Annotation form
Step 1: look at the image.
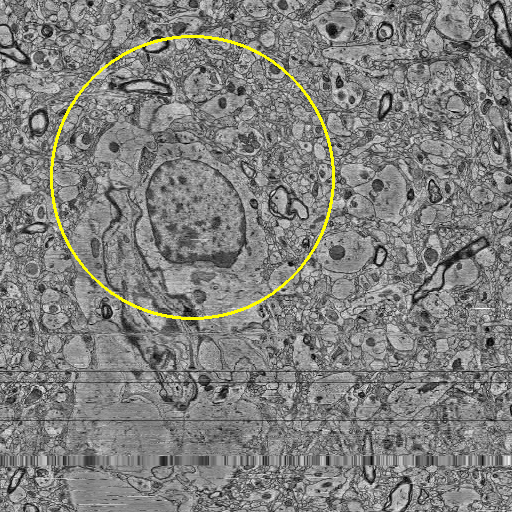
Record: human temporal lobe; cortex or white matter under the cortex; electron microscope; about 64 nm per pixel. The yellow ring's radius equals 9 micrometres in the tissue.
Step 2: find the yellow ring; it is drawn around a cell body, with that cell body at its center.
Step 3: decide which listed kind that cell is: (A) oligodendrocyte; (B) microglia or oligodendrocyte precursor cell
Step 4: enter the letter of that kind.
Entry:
B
